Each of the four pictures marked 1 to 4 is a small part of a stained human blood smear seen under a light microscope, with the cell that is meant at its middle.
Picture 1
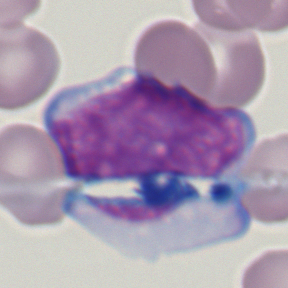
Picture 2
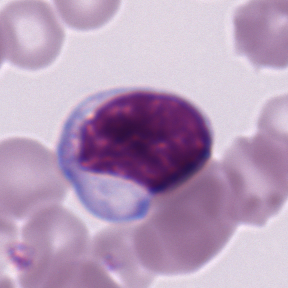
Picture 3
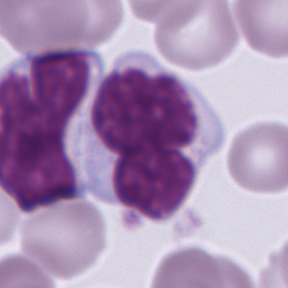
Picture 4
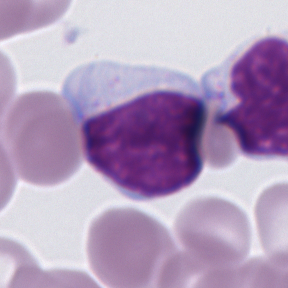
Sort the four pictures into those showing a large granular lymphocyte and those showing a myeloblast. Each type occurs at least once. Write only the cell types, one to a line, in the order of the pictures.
myeloblast
large granular lymphocyte
large granular lymphocyte
large granular lymphocyte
